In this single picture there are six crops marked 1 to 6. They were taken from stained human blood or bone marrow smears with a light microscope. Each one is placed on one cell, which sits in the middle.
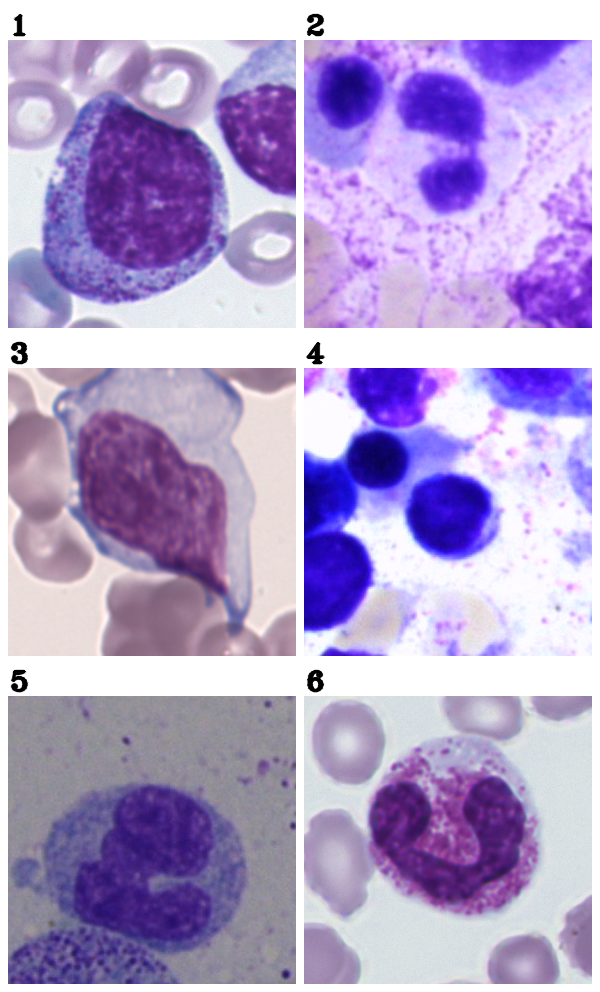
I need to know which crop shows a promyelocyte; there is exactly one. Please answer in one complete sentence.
Crop 1, and no other, is the one that shows a promyelocyte.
